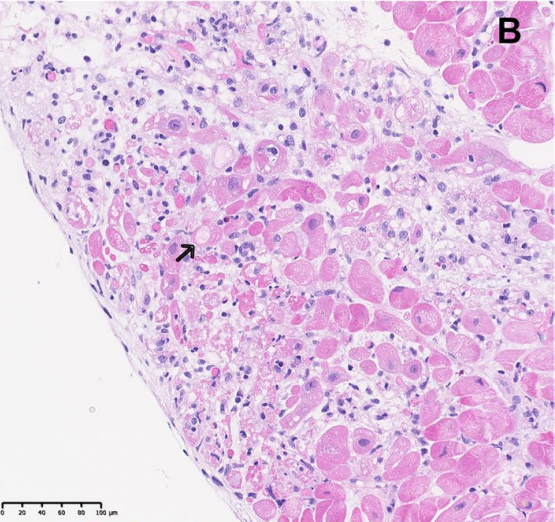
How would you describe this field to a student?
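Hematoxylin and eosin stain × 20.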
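Heart muscle in which many small round dark-blue nuclei crowd the spaces between the muscle fibres, while at upper right the fibres are bright pink with central nuclei. Among the crowded cells several fibres are pale, swollen and vacuolated with irregular outlines. This is inflamed myocardium with necrotic myocytes amid an inflammatory infiltrate.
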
